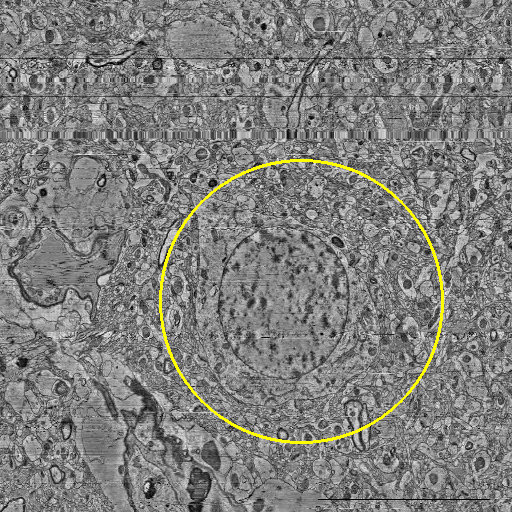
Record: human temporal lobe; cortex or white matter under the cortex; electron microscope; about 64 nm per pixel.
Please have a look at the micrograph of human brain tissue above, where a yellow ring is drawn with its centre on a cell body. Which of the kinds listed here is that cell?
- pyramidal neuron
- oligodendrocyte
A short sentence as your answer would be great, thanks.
At the centre of the ring sits a pyramidal neuron.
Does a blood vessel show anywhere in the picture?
Yes, one shows.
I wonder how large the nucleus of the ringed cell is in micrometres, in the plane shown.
In this plane the nucleus measures roughly 10 by 9 micrometres.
